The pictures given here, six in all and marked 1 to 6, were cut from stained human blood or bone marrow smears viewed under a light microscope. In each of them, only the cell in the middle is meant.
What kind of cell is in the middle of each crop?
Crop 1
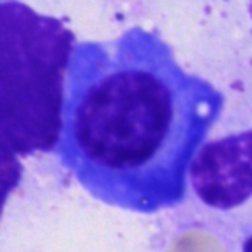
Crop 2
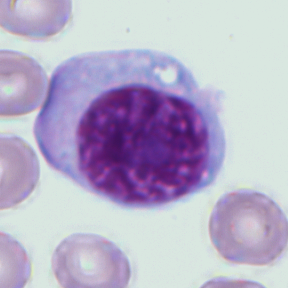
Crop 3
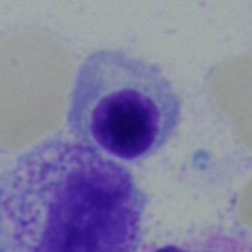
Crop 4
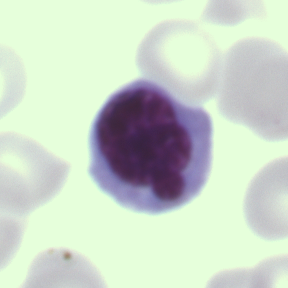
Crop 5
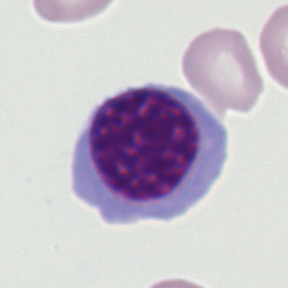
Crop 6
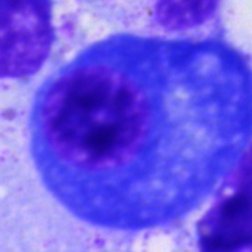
1: plasma cell
2: plasma cell
3: erythroblast
4: erythroblast
5: erythroblast
6: plasma cell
